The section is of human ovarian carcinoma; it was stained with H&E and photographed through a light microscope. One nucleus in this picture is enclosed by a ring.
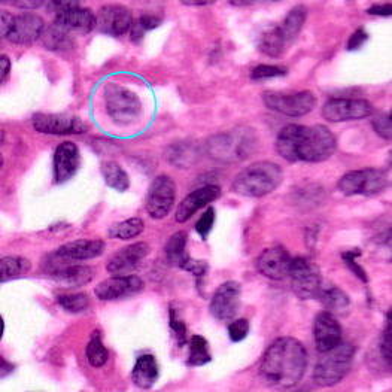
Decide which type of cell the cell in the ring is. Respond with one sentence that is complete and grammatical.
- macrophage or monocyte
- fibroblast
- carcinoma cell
The cell type represented by the cell in the ring is that of a macrophage or monocyte.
